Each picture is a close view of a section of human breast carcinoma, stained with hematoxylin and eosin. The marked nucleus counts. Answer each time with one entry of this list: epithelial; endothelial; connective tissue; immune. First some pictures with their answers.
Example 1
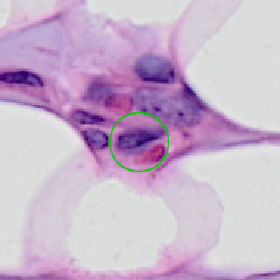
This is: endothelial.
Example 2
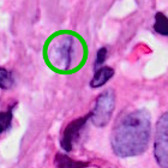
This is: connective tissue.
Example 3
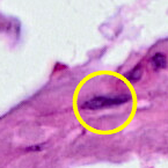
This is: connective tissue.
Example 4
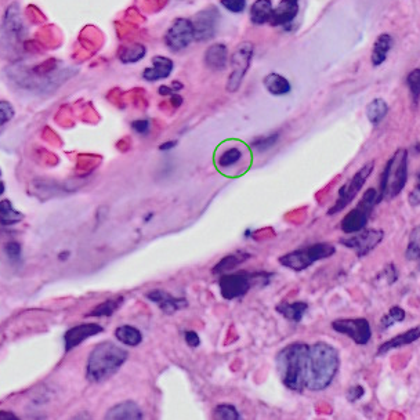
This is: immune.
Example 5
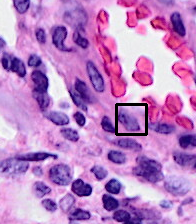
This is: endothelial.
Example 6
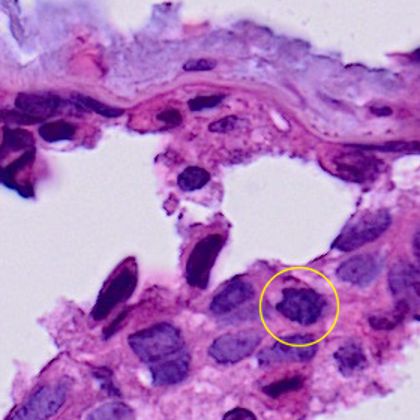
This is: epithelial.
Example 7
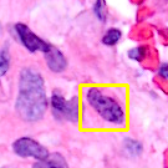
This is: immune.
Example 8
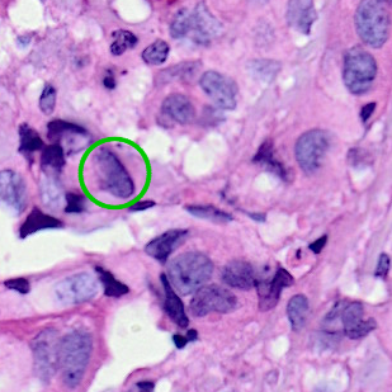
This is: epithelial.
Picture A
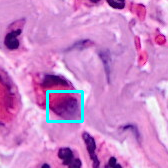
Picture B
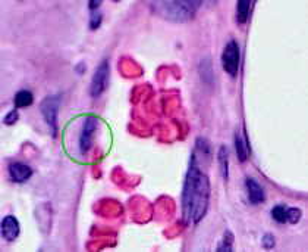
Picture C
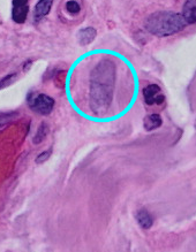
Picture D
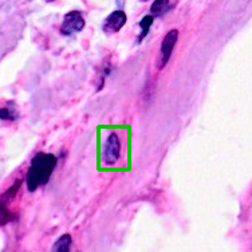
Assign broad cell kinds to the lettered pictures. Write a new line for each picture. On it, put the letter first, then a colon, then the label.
A: endothelial.
B: endothelial.
C: connective tissue.
D: immune.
